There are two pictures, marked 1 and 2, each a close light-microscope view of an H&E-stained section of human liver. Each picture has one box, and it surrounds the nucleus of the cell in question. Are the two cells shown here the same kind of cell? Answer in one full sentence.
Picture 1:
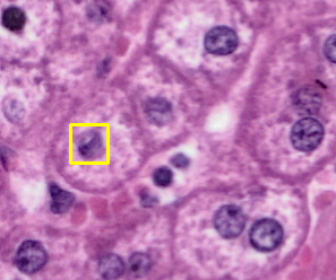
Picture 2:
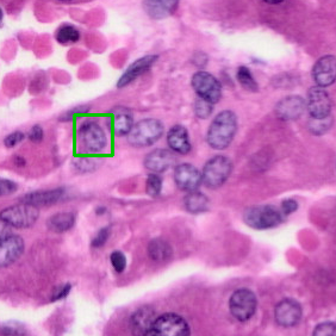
No, picture 1 shows a hepatocyte and picture 2 shows a cholangiocyte.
